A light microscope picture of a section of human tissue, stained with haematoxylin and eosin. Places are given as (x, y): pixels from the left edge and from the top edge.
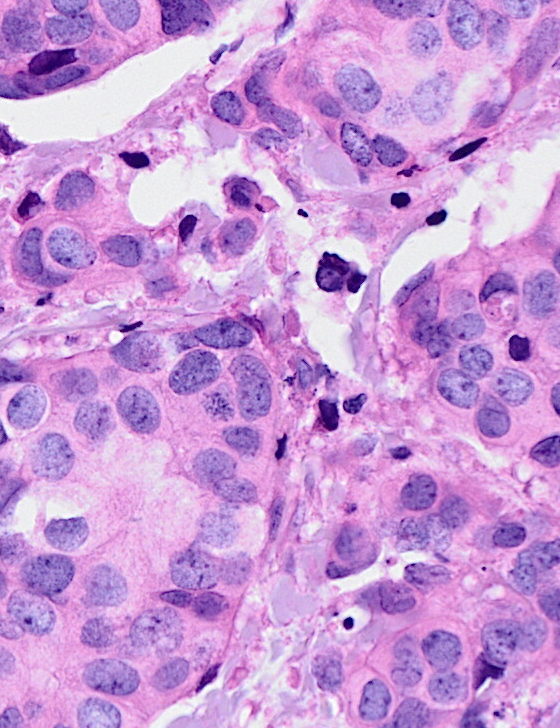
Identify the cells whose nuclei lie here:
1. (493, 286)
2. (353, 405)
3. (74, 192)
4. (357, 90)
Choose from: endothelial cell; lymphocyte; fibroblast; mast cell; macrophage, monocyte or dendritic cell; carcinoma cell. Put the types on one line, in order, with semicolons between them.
carcinoma cell; lymphocyte; carcinoma cell; carcinoma cell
